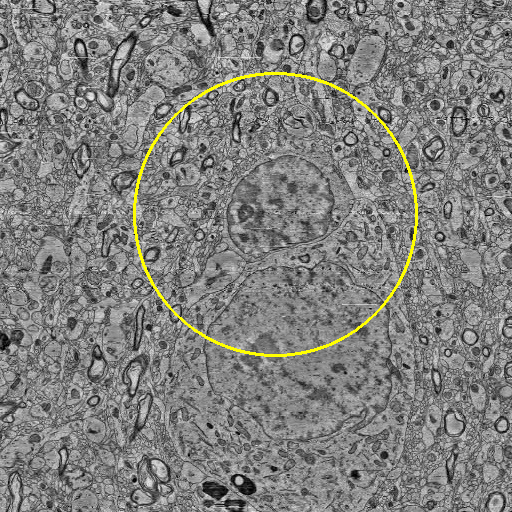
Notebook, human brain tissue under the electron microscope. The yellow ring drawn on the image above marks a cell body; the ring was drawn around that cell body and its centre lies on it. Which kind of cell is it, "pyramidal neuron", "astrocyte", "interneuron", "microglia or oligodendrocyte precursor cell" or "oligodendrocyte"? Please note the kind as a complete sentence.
The marked cell body is that of an oligodendrocyte.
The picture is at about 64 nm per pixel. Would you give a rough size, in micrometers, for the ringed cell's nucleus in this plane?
In this plane, approximately 7 by 6 micrometers.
